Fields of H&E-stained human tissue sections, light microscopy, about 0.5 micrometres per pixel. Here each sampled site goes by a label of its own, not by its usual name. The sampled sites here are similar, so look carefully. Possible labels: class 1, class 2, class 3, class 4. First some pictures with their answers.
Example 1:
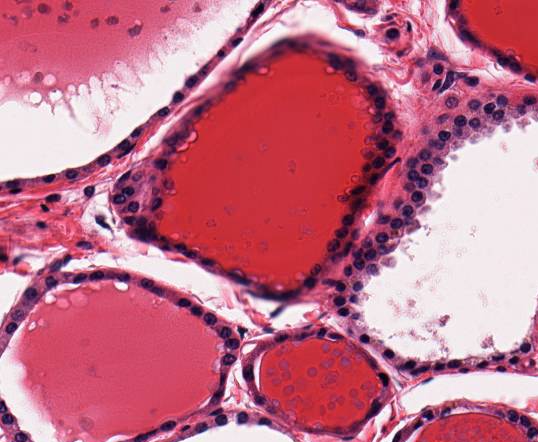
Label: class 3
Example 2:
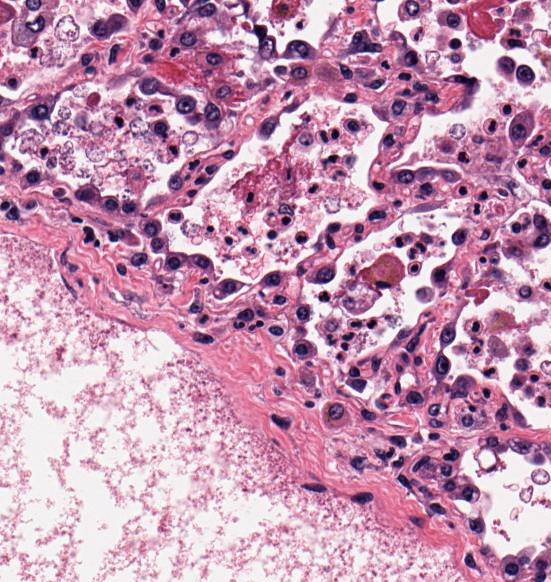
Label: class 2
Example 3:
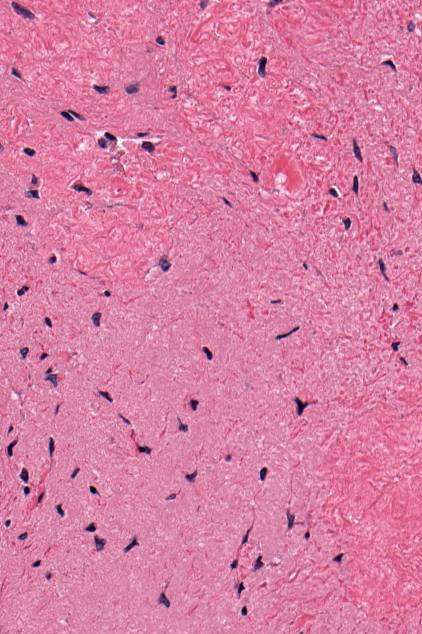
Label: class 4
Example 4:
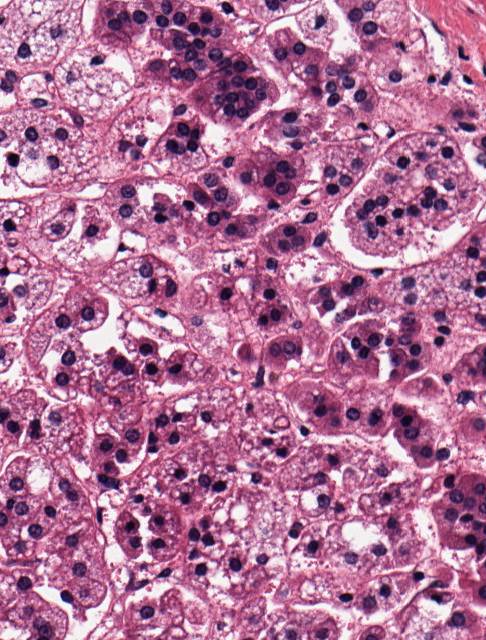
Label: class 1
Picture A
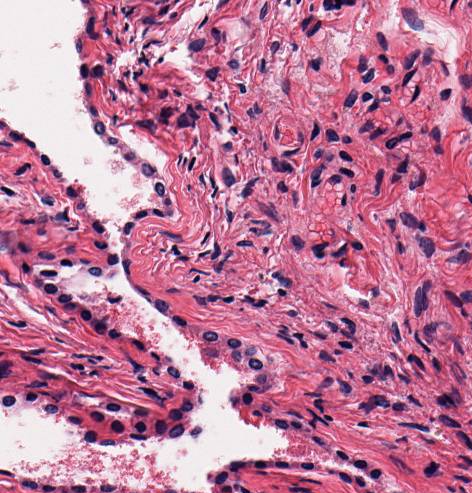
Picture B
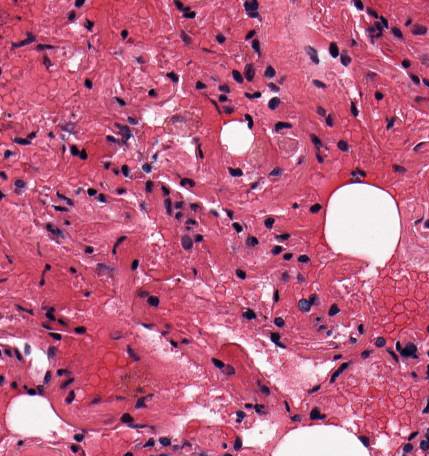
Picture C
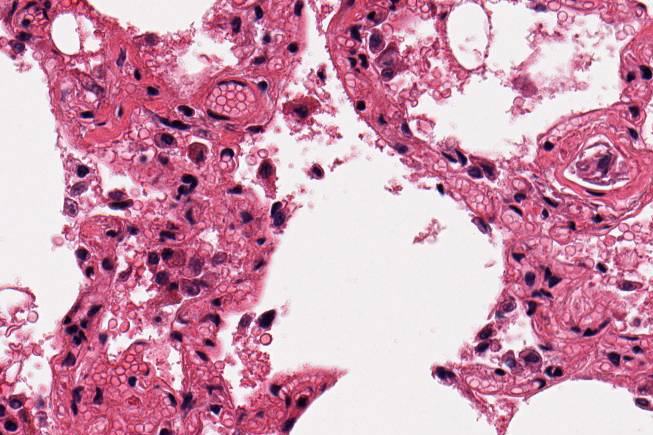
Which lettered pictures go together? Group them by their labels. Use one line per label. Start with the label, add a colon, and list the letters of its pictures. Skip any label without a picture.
class 2: B, C
class 4: A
